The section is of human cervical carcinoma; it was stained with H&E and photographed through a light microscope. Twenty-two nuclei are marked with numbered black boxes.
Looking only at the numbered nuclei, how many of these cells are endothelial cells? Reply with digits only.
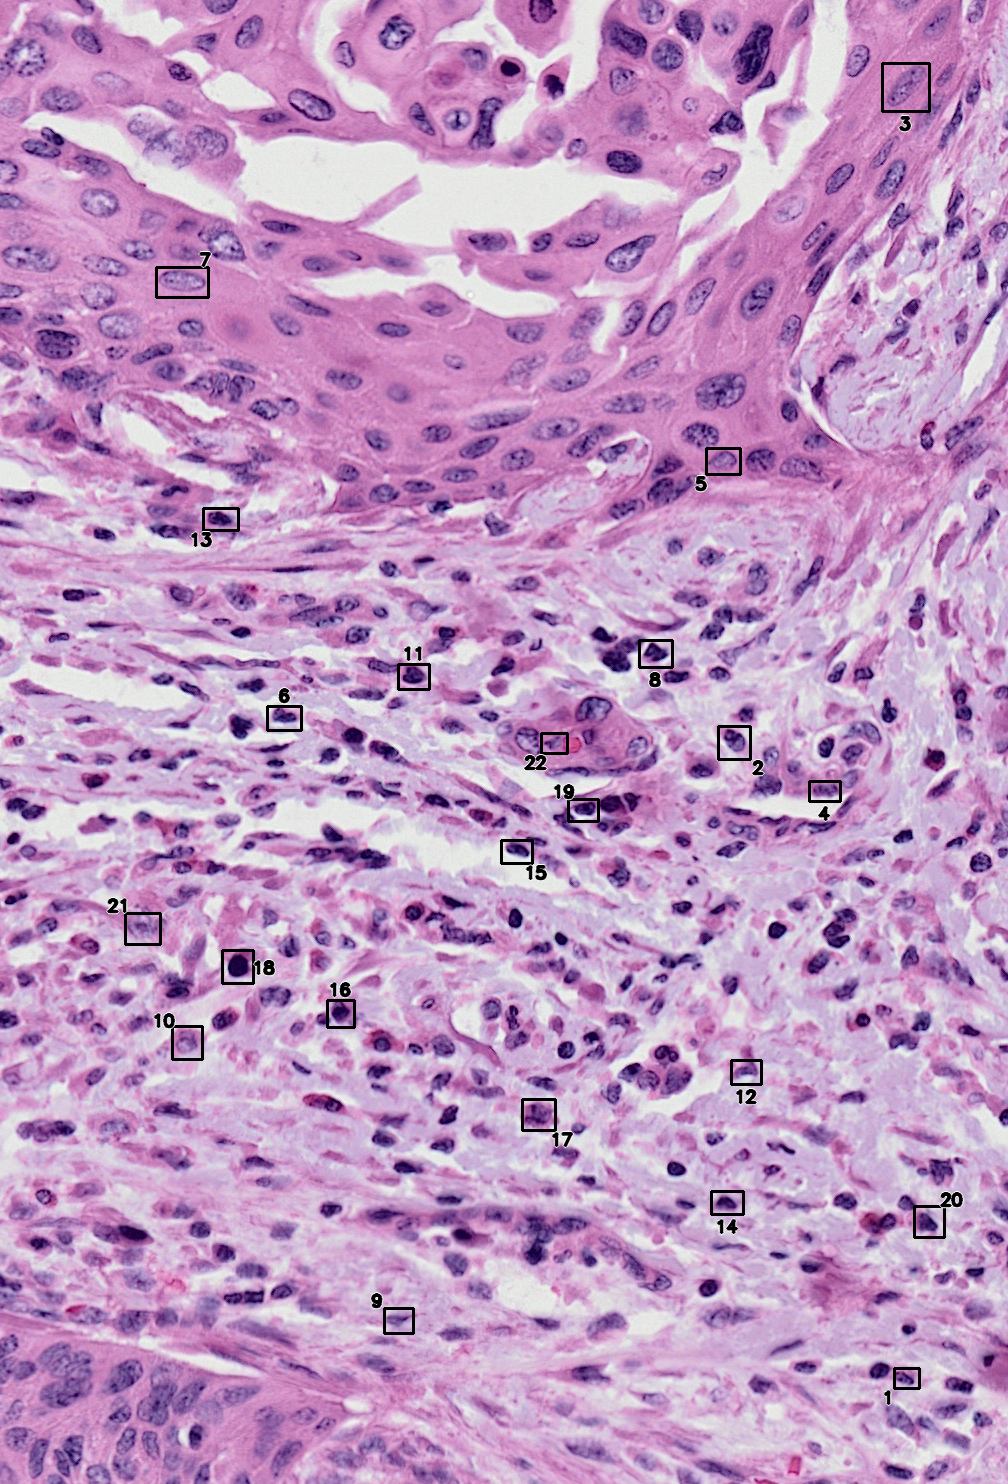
2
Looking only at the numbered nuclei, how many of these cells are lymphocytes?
12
